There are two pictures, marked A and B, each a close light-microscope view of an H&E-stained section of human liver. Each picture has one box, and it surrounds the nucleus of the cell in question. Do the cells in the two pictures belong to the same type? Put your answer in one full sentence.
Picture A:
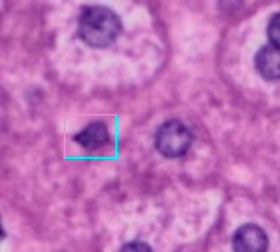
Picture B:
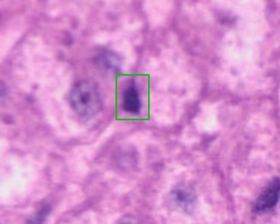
No, they differ: the cell is an endothelial cell in picture A and a “fibroblast or stellate cell” in picture B.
